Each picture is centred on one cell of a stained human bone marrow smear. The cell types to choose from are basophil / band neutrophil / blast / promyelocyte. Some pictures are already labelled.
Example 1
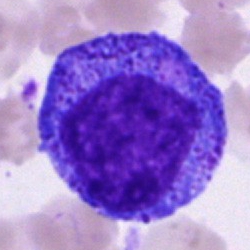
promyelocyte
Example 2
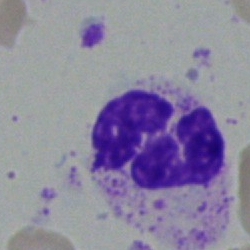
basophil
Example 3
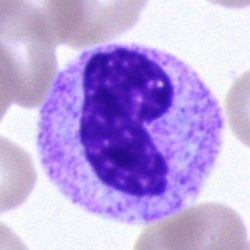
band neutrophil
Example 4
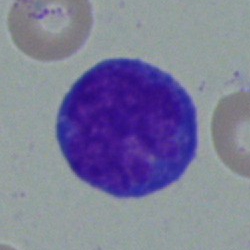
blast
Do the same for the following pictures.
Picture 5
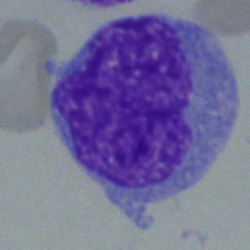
blast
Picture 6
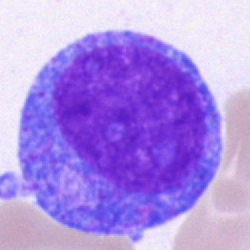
promyelocyte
